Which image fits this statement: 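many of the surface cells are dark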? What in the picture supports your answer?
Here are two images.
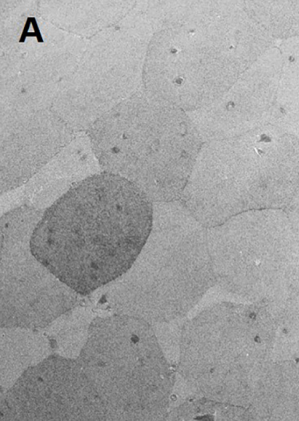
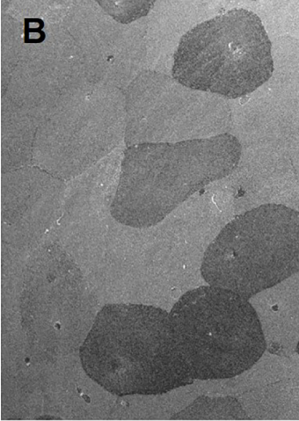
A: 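Second image: several large polygonal cells are markedly dark against lighter neighbours. First image: nearly all cells are light grey, with only one clearly dark cell. The answer: the second image.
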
